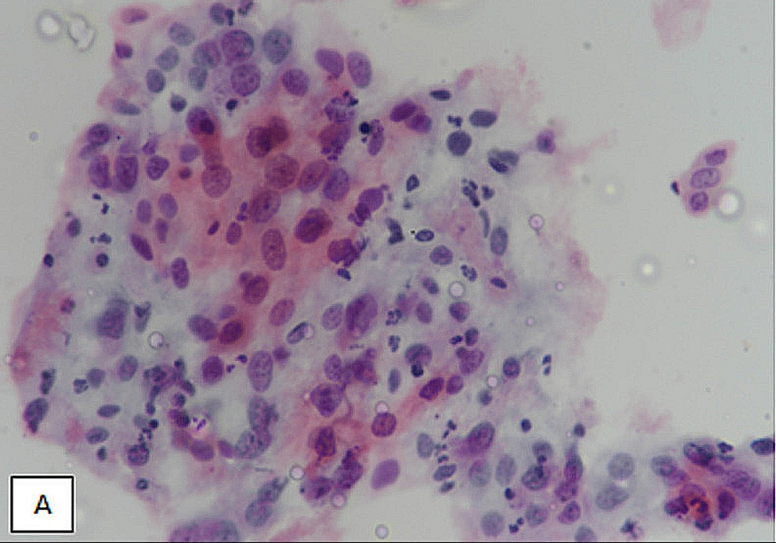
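A large, crowded aggregate of atypical squamous cells forms a sheet in which the borders between cells are hard to make out, with cytoplasm staining pink in places and pale blue-grey elsewhere. The nuclei are enlarged, oval to irregular, vary in size and overlap one another. Small cells with dark, lobed nuclei lie scattered among them.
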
